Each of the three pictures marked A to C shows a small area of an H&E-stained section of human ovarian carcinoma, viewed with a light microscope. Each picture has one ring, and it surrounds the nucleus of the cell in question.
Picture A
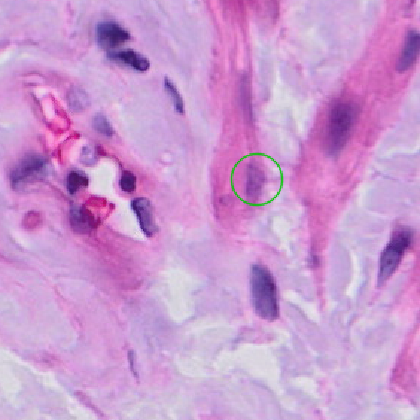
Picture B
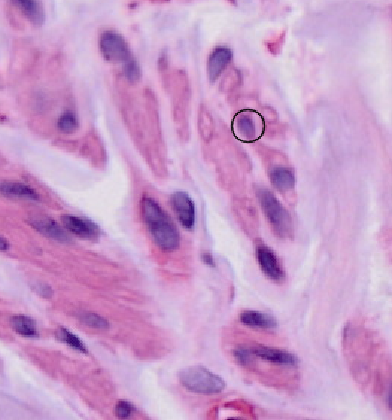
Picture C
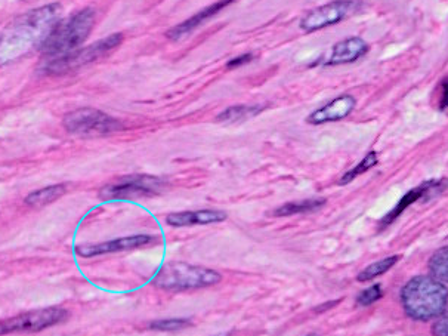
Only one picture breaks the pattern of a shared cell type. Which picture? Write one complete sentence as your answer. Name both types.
The different one is picture C; it shows a fibroblast, whereas all the others show smooth muscle cells.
